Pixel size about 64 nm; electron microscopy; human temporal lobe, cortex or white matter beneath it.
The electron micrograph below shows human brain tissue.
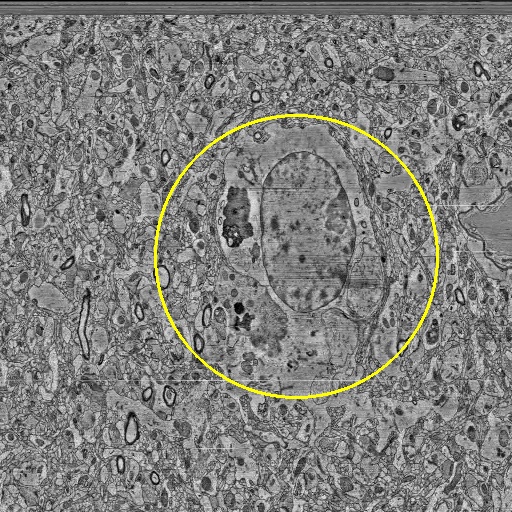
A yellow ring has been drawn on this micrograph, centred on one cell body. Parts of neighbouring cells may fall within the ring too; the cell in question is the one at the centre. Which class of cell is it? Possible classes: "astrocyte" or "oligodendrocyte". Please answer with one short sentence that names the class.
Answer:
In the centre of the ring sits an astrocyte.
